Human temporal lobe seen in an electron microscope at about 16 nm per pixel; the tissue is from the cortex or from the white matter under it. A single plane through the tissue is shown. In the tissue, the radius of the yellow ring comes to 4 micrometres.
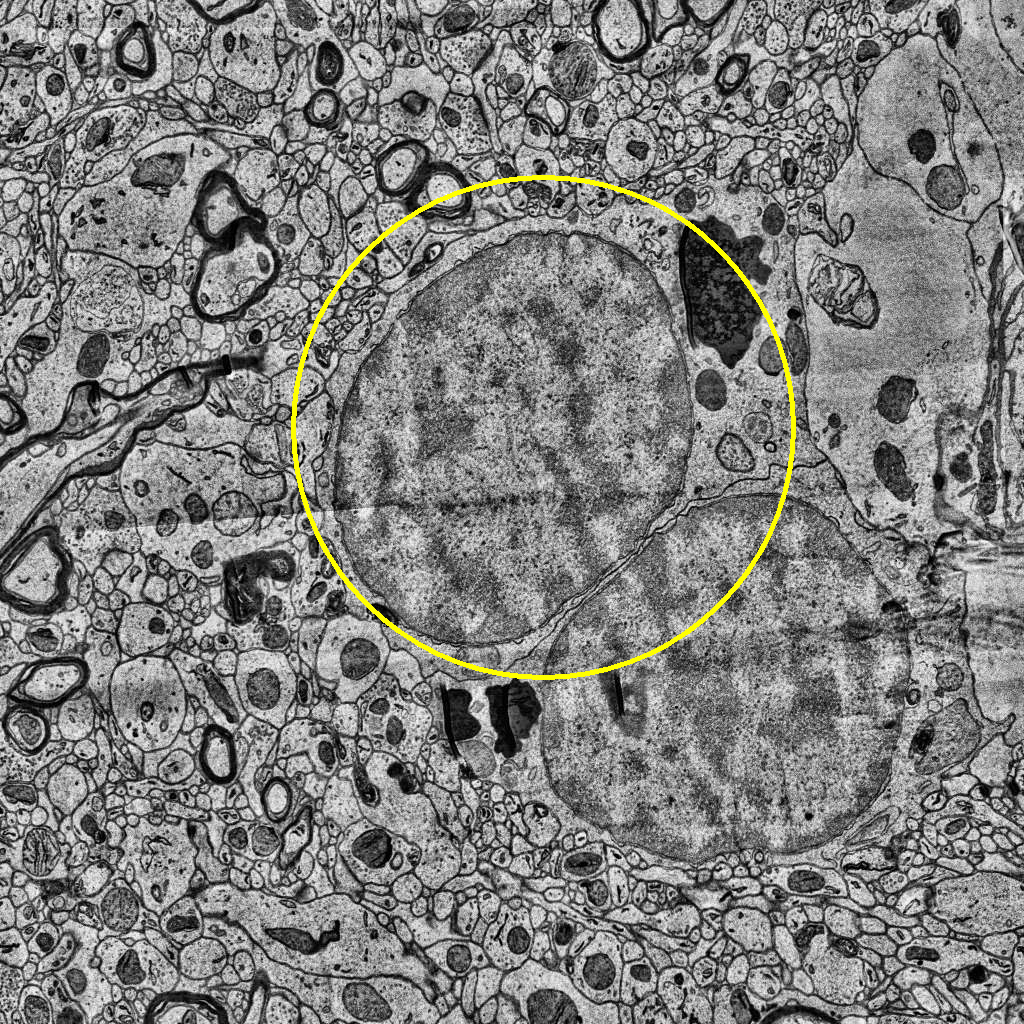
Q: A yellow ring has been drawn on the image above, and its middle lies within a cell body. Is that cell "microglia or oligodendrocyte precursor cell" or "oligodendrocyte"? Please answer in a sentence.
The ring's middle lies in the cell body of an oligodendrocyte.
